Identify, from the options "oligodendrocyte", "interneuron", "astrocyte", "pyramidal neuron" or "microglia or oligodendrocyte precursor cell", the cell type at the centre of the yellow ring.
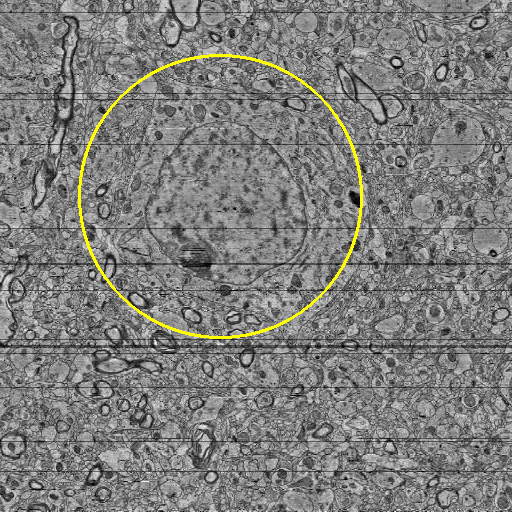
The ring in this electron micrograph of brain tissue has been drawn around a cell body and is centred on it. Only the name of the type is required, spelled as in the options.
interneuron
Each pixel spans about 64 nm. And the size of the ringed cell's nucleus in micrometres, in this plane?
In this plane, the nucleus measures approximately 10 micrometres across.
